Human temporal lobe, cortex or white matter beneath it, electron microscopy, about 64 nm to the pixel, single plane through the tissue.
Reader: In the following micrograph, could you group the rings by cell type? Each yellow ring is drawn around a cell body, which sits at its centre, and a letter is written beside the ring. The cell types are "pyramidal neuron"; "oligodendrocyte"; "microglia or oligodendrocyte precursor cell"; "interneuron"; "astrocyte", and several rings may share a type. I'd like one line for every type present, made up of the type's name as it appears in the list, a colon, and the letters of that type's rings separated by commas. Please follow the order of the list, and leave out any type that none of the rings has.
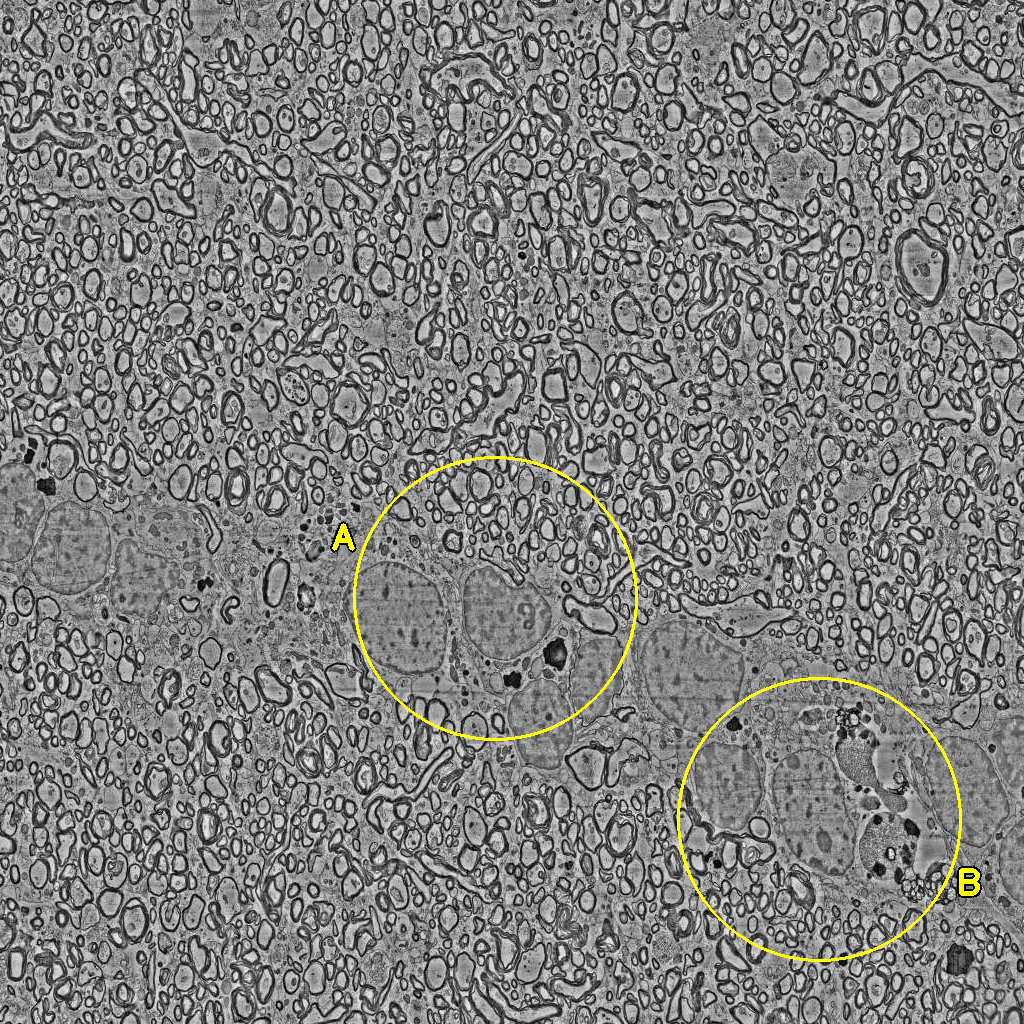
oligodendrocyte: A
astrocyte: B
